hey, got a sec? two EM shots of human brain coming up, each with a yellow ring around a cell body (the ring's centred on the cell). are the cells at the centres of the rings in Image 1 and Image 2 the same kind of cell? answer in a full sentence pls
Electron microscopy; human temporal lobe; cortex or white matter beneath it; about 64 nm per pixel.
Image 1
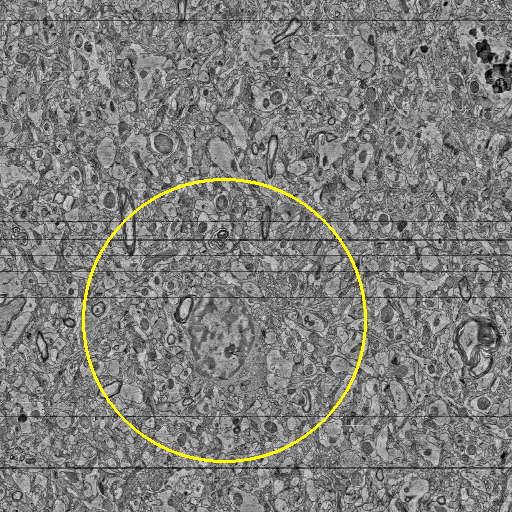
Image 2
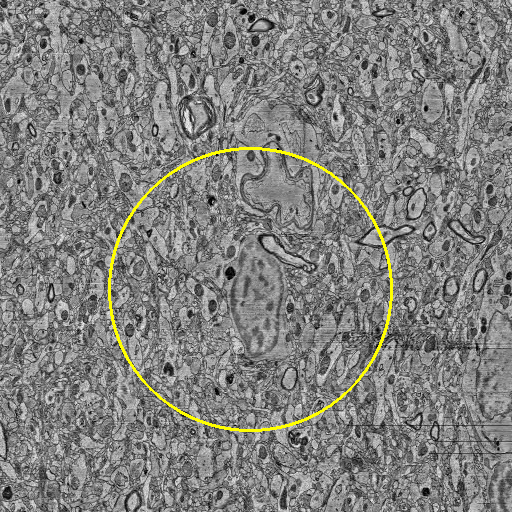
Yes, both are the same kind of cell.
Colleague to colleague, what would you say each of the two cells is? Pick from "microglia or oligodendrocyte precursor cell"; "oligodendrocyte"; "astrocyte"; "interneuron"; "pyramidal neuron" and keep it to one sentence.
Each of the two cells is an oligodendrocyte.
